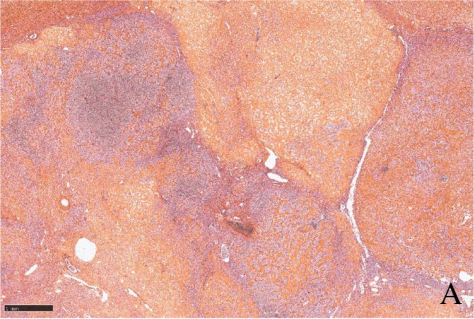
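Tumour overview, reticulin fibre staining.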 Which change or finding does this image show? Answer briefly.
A: Multinodular architecture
